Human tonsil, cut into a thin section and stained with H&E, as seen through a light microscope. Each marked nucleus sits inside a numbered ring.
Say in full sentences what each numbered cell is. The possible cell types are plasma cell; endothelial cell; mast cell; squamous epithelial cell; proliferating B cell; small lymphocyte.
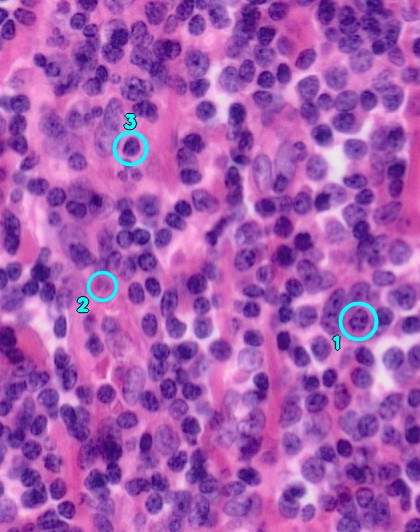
Cell 1 is a plasma cell, cell 2 is an endothelial cell and cell 3 is an endothelial cell.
